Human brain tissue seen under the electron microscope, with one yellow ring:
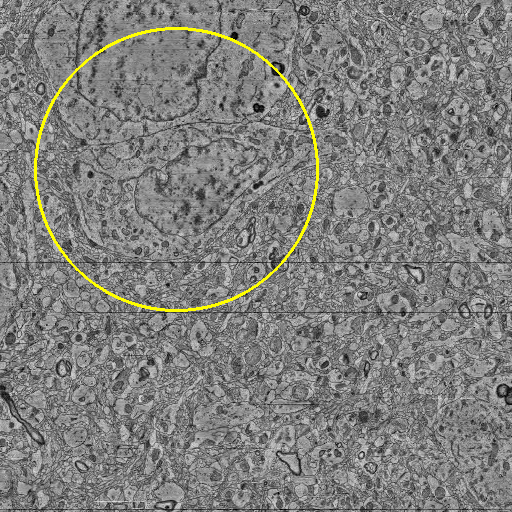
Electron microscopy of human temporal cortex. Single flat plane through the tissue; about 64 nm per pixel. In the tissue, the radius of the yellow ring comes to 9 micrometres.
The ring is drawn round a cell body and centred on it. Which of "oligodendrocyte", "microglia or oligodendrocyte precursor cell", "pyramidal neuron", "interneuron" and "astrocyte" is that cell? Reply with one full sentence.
The picture shows an interneuron at the very centre of the yellow ring.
